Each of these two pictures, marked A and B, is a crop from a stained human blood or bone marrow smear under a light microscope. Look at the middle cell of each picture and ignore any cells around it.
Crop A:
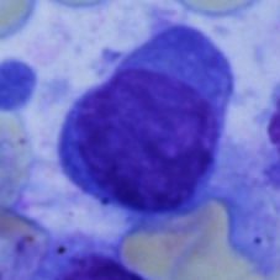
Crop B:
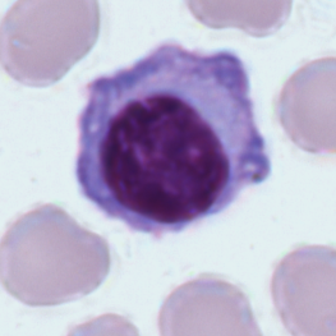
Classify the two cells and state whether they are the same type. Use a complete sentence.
Yes, the two central cells, one per crop, are plasma cells.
